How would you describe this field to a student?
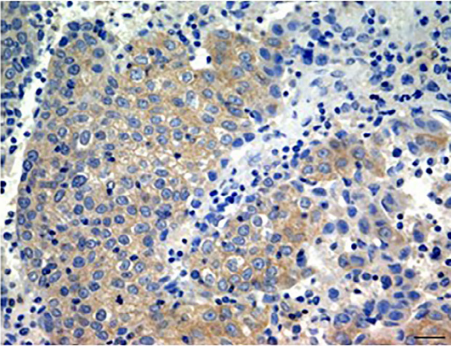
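This high-magnification view shows nests of tumor cells separated by a loose stroma. The tumor cells are crowded and polygonal, with round to oval blue nuclei, many of which have a visible nucleolus. Their cytoplasm is stained a light to moderate brown, while the nuclei remain blue. Between the nests lies a paler stroma containing small, dark, round nuclei of cells that show no brown stain.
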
